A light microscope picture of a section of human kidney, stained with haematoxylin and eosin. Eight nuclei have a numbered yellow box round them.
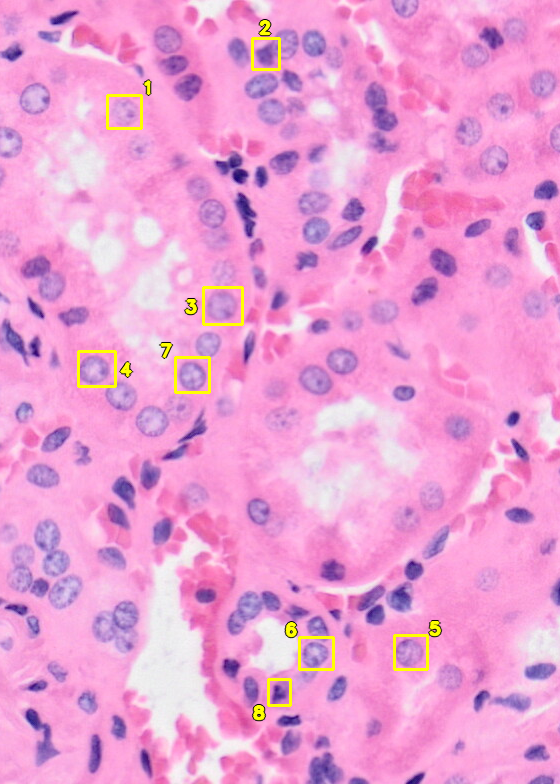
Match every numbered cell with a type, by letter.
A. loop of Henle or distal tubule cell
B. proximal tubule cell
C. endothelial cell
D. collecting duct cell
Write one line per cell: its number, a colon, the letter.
1: B
2: D
3: B
4: B
5: B
6: D
7: B
8: D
